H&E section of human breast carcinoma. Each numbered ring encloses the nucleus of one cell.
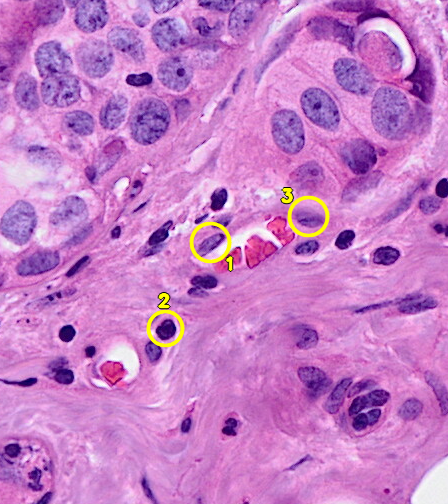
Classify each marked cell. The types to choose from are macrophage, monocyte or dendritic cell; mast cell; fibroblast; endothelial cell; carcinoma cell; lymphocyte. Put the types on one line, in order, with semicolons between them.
endothelial cell; lymphocyte; endothelial cell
